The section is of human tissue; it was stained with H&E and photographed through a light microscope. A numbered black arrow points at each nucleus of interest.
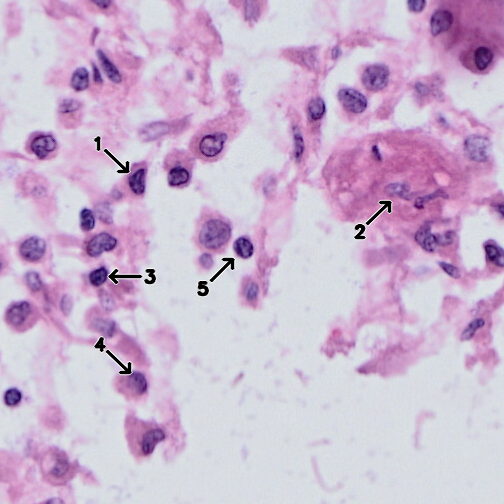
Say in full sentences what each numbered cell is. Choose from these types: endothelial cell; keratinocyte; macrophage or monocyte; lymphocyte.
Cell 1 is a macrophage or monocyte, cell 2 is an endothelial cell, cell 3 is a lymphocyte, cell 4 is a macrophage or monocyte and cell 5 is a lymphocyte.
